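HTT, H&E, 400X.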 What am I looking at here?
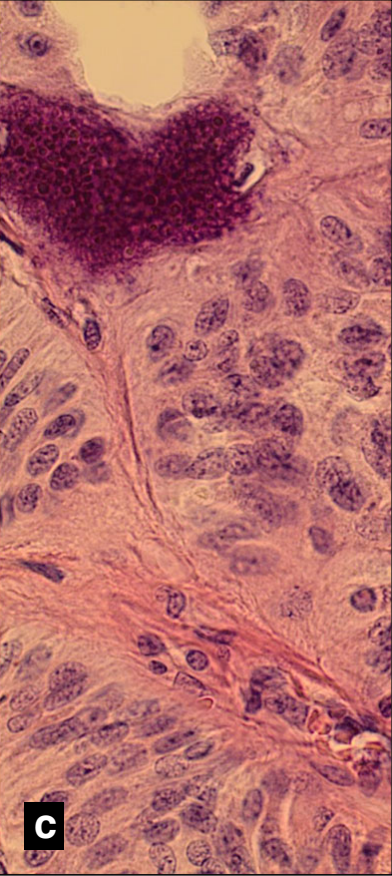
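Sheets and cords of neoplastic cells are seen at high power, their oval to elongated nuclei with coarse, clumped purple chromatin and some small nucleoli. Along the lower left the cells are more elongated and lie side by side in a row. Thin pink stromal strands with a few flattened nuclei run between the groups. At the top a dense, dark purple, granular deposit lies in the stroma near a clear space.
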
